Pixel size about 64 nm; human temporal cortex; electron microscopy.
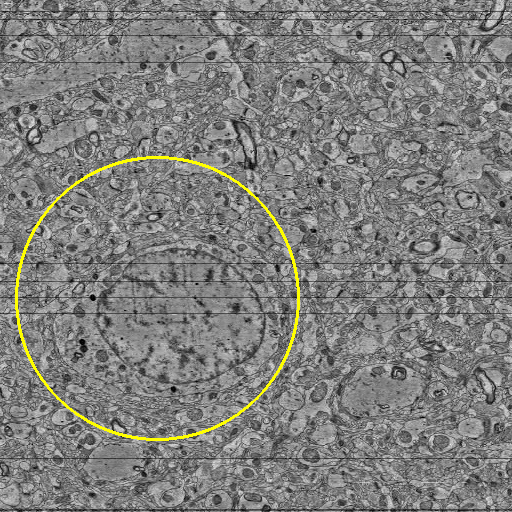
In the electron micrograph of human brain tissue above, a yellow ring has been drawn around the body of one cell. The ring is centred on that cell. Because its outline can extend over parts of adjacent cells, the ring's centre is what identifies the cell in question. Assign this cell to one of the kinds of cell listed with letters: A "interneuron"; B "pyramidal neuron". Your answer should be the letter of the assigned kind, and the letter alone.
B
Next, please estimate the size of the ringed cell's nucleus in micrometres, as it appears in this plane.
In this plane, approximately 11 by 9 micrometers.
